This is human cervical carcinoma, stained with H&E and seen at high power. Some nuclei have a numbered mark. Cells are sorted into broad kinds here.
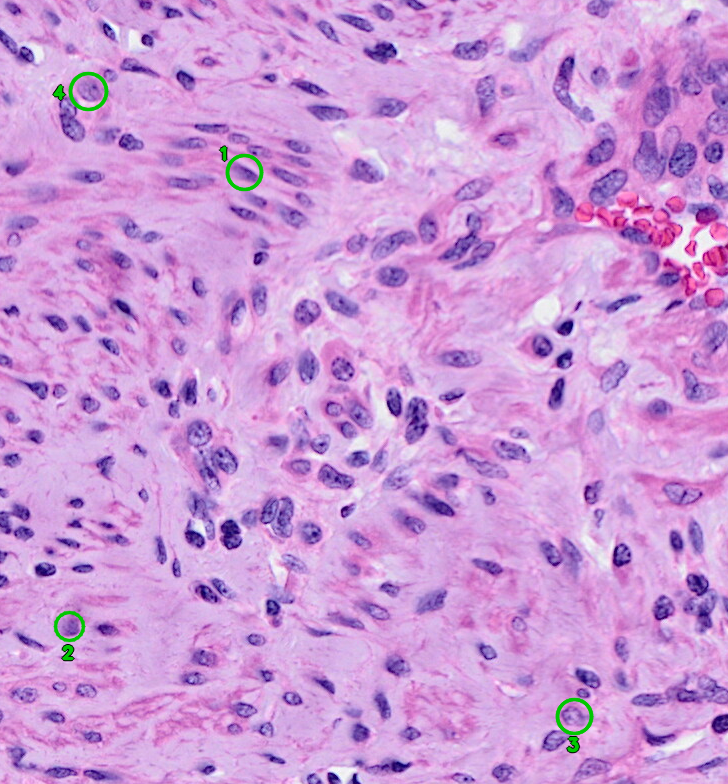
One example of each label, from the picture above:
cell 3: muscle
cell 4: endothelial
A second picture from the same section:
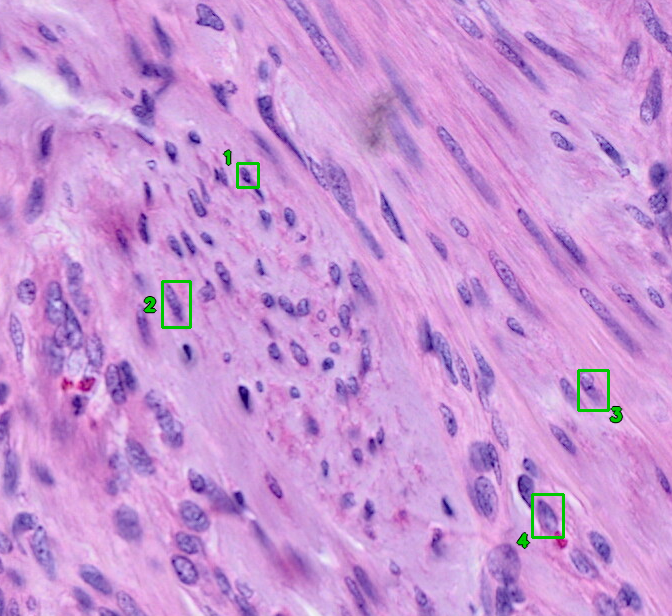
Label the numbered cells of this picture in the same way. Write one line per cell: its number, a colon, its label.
1: muscle
2: muscle
3: muscle
4: endothelial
